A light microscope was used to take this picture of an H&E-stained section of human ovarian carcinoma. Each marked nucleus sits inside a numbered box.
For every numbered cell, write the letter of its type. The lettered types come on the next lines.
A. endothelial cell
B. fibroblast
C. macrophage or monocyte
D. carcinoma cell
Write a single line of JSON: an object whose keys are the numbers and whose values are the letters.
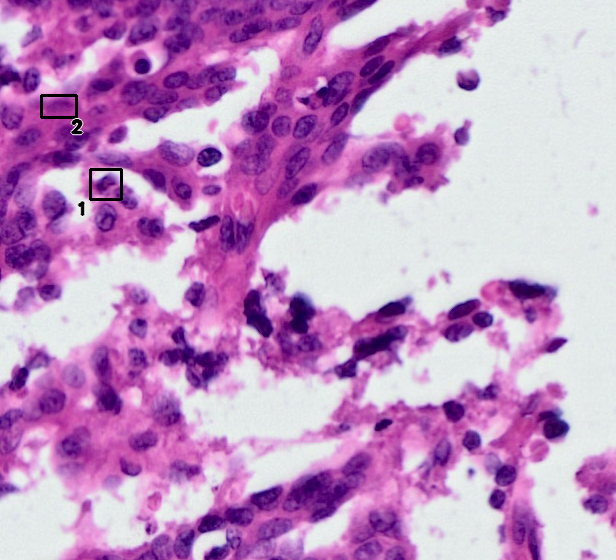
{"1": "C", "2": "D"}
